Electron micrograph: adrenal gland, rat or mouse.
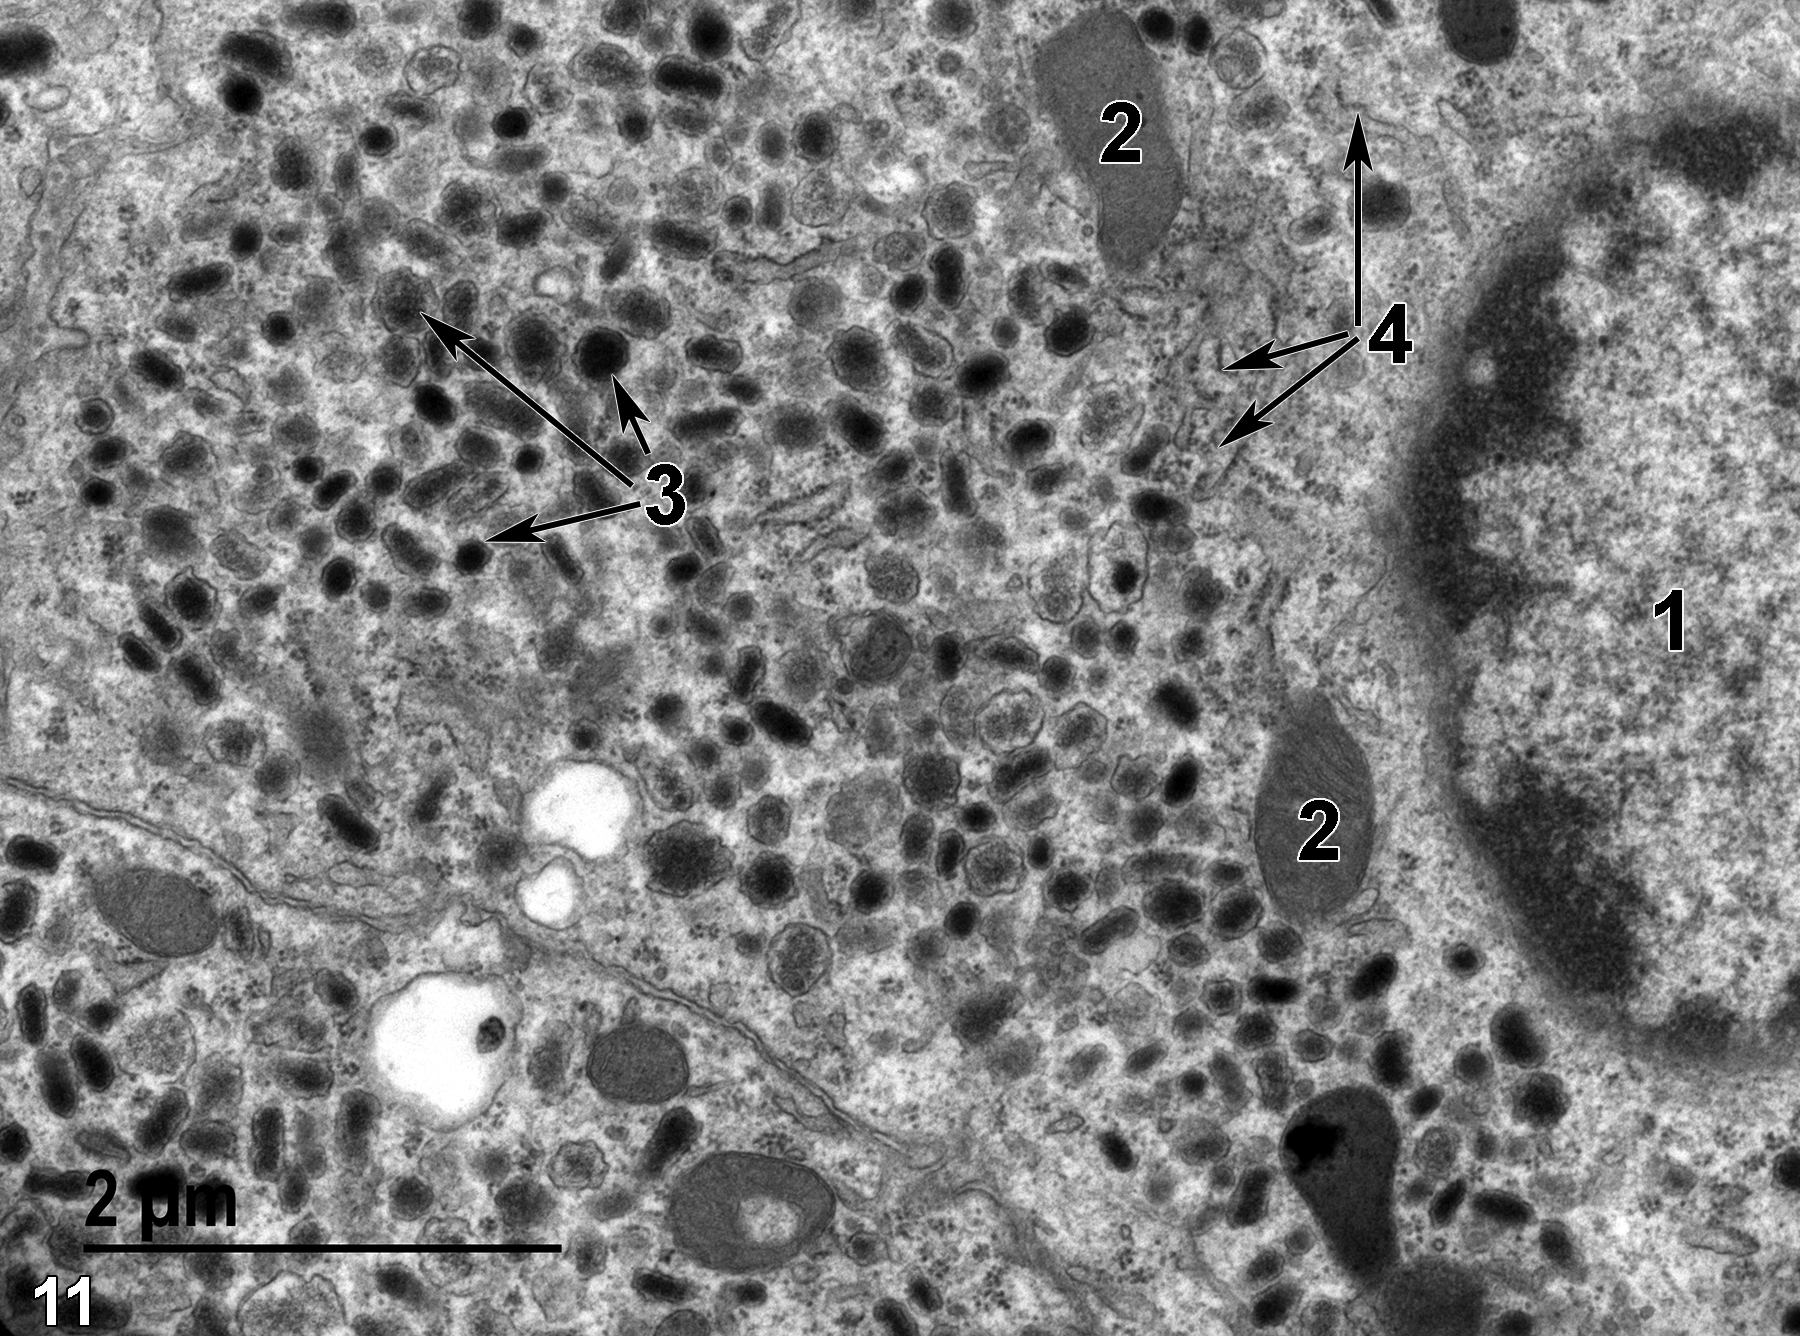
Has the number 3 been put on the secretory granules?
Yes.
